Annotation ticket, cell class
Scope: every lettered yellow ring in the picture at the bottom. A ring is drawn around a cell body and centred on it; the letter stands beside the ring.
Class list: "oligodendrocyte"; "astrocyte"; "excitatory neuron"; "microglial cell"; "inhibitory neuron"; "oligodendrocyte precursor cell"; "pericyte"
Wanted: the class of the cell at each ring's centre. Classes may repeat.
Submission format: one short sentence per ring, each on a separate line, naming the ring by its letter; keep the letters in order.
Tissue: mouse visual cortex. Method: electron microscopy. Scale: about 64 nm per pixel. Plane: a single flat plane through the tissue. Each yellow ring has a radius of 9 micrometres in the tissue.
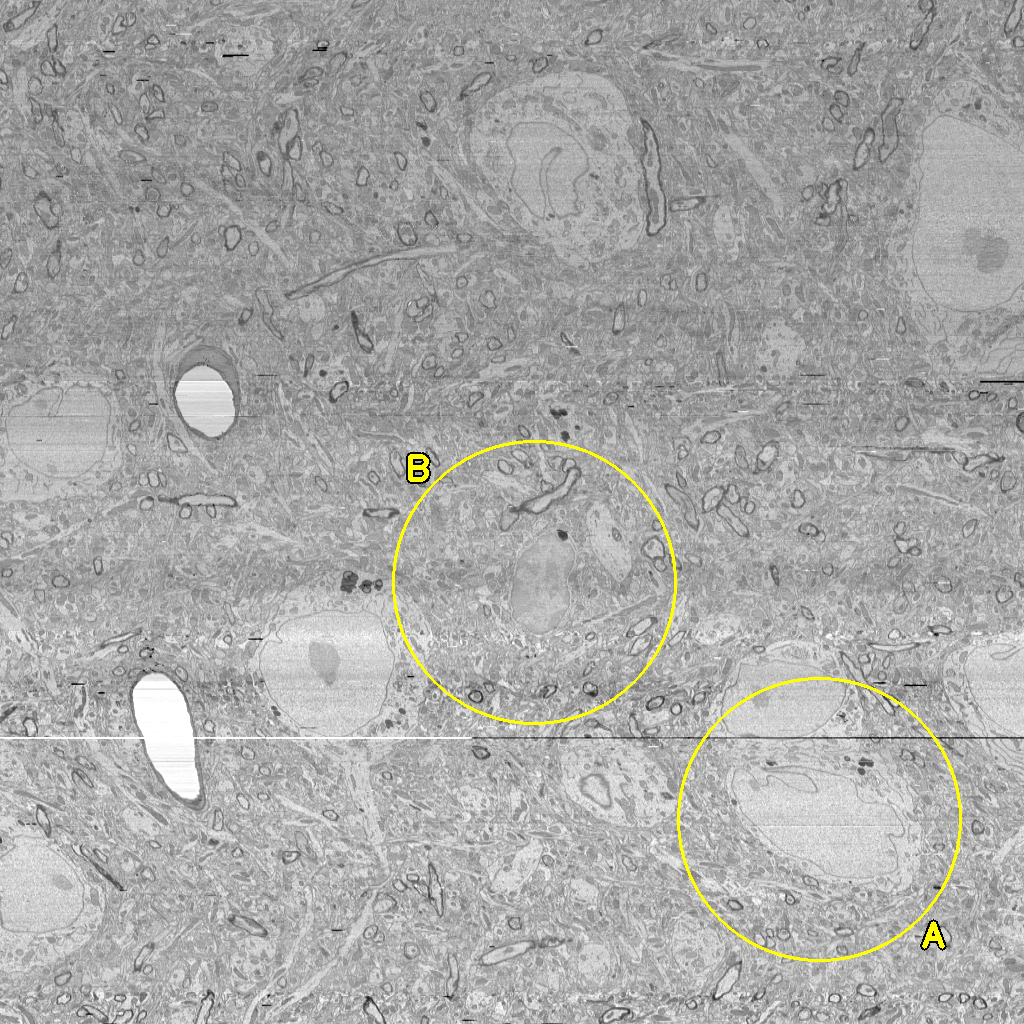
The centre of ring A is occupied by an excitatory neuron.
The centre of ring B is occupied by a microglial cell.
